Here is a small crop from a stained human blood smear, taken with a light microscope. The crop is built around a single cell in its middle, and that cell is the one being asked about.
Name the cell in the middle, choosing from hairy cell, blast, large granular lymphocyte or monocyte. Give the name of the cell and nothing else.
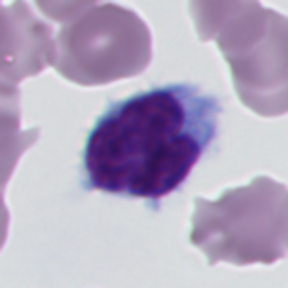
hairy cell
